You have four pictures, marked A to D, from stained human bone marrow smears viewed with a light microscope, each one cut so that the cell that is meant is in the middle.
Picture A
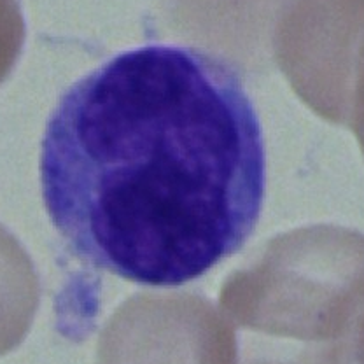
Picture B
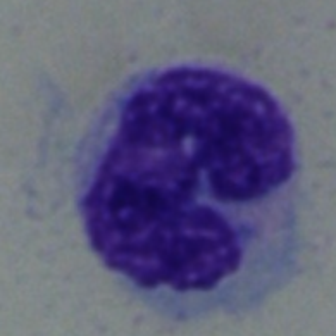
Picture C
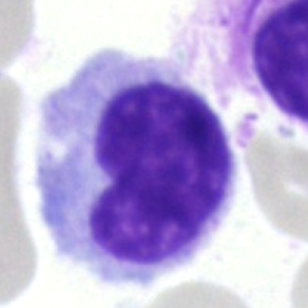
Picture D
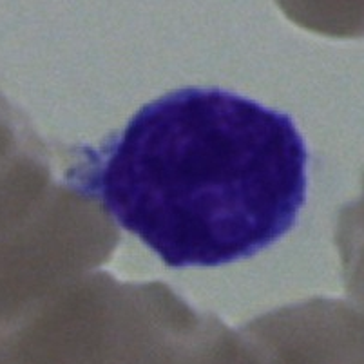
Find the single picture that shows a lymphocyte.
D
